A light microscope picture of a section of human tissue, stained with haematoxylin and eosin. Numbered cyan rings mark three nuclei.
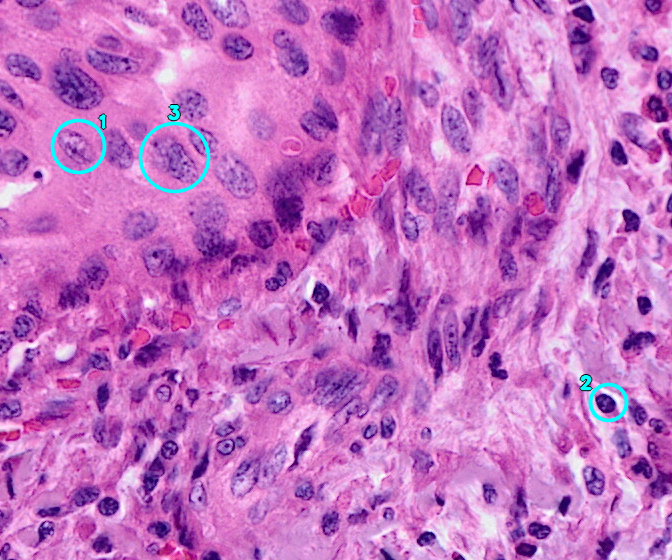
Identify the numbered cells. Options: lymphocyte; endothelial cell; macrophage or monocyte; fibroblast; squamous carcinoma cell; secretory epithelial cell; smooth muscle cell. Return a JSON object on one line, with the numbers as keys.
{"1": "squamous carcinoma cell", "2": "lymphocyte", "3": "squamous carcinoma cell"}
